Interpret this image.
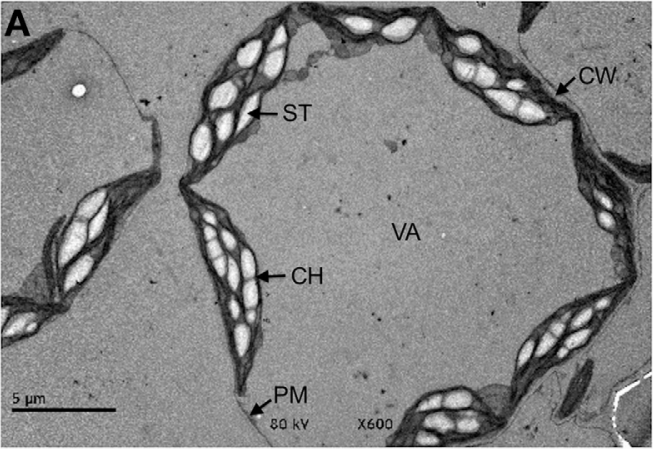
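Leaf cells with a rounded outline, each dominated by a large central vacuole. A thin peripheral layer of cytoplasm lies against the cell wall and holds a chain of elongated, lens-shaped chloroplasts. The chloroplasts are electron-dense with several large, pale, oval starch grains inside each.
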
